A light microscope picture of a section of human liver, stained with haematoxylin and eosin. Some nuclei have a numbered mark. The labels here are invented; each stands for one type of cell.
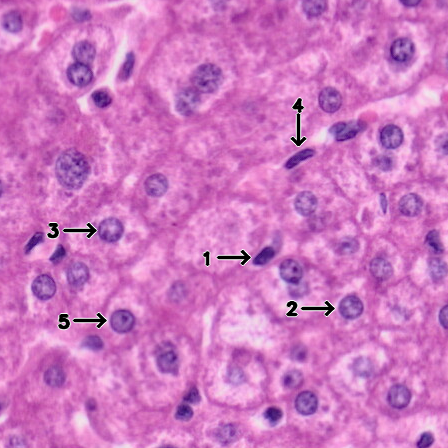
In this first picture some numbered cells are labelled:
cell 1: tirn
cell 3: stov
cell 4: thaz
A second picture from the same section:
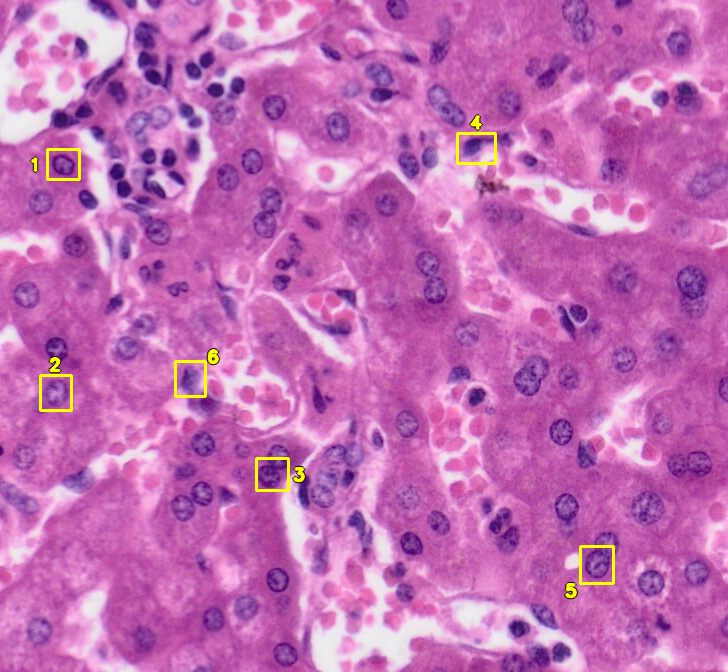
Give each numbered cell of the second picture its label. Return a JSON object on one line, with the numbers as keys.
{"1": "stov", "2": "stov", "3": "stov", "4": "tirn", "5": "stov", "6": "tirn"}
